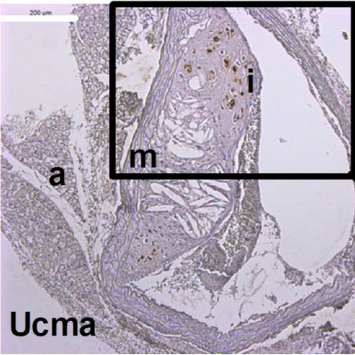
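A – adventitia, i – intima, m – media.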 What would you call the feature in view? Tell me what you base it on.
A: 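Atherosclerotic plaques. A thick mass of tissue bulges from the vessel wall into the lumen. The thickened intima holds scattered cells and brown deposits over a thin layered media.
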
